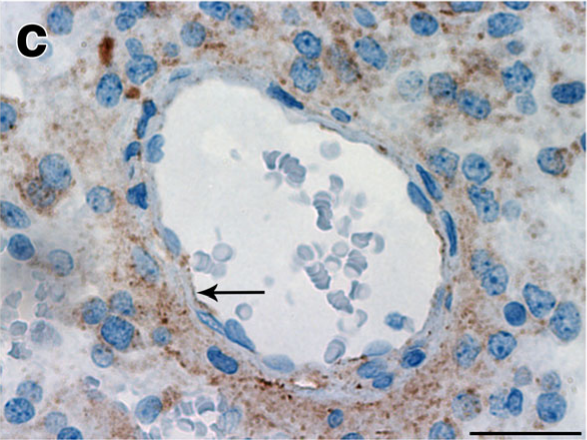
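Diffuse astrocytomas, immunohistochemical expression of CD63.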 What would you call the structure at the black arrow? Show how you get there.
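The arrow points at the wall of a round open lumen. Red blood cells lie inside the lumen. Flattened elongated nuclei line the lumen. The answer: tumor blood vessels.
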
